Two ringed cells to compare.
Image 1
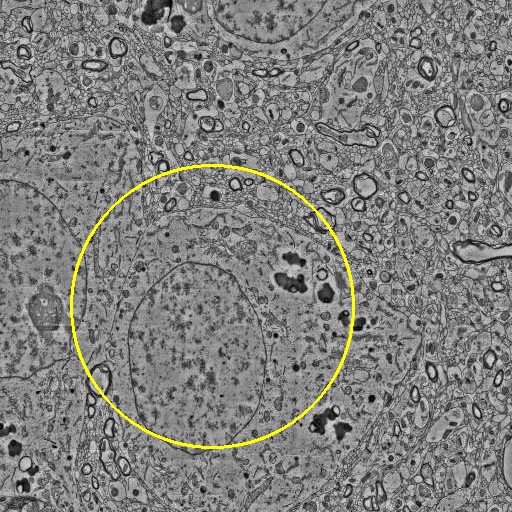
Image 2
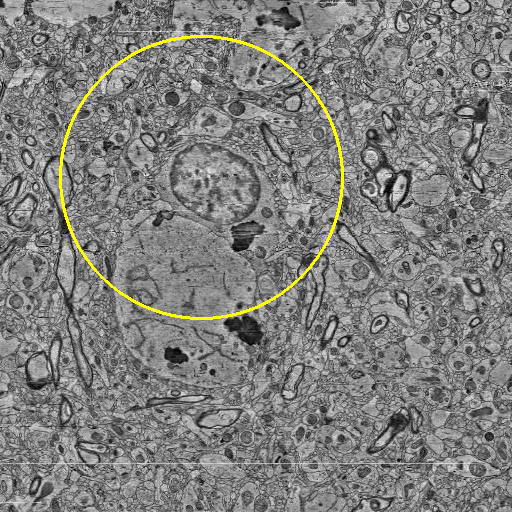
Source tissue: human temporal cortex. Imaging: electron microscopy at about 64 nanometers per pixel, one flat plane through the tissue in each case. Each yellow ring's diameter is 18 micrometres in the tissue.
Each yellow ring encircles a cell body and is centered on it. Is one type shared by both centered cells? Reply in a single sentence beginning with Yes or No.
No, two types are found among the cells at the centers of the rings.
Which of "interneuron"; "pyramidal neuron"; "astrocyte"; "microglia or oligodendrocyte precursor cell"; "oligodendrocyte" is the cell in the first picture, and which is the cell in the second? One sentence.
The two differ: the first cell is a pyramidal neuron and the second is an oligodendrocyte.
